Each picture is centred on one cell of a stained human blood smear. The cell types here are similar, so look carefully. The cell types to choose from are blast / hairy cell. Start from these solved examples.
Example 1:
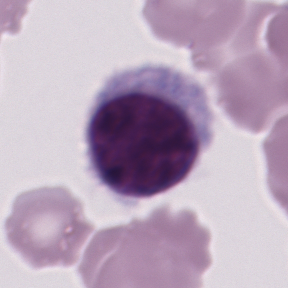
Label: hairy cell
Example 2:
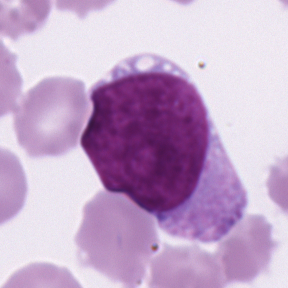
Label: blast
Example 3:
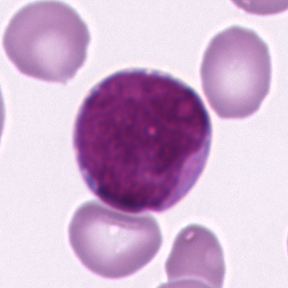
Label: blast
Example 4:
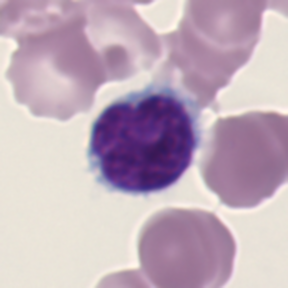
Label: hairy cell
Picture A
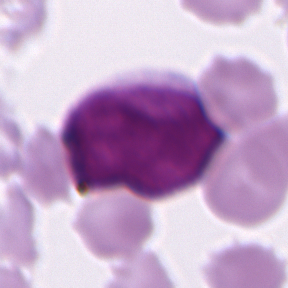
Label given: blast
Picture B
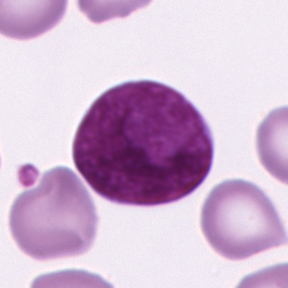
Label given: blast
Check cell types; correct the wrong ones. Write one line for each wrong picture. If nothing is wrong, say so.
Every label is right.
